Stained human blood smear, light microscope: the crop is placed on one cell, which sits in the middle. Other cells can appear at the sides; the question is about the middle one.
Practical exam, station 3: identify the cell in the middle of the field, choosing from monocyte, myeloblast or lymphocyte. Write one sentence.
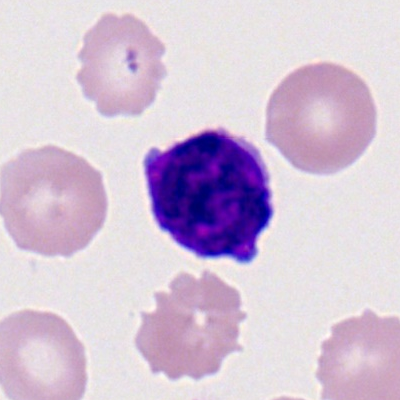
The cell centered in this field of view is a lymphocyte.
